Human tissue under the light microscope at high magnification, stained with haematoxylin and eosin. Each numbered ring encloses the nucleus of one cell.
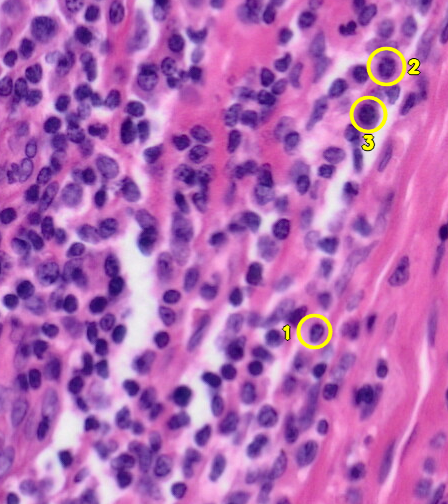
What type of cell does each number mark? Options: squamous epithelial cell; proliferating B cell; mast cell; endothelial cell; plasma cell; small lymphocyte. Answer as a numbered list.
1. mast cell
2. plasma cell
3. plasma cell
